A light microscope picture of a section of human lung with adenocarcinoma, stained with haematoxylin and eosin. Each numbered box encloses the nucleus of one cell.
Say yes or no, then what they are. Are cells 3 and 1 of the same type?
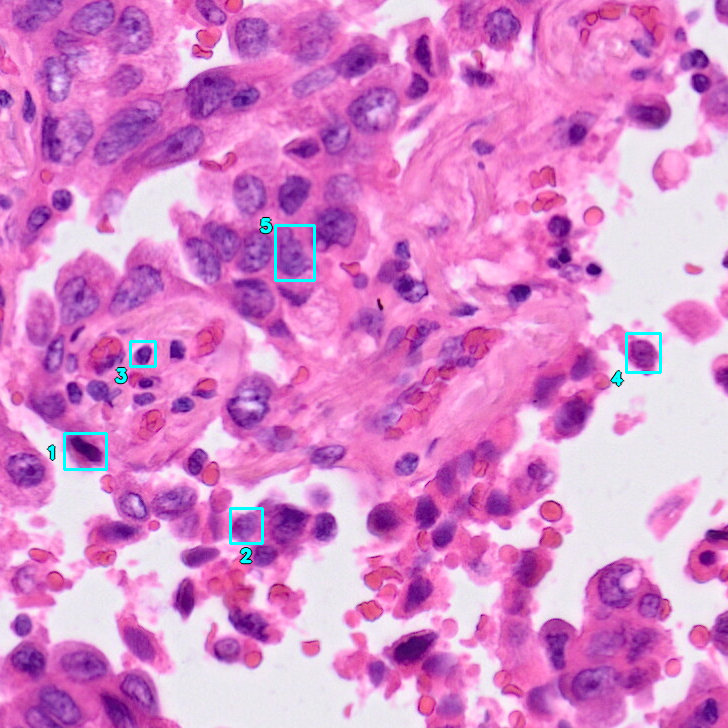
No, cell 3 is a lymphocyte, whereas a carcinoma cell is what cell 1 is.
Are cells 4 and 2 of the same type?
No, a macrophage or monocyte is what cell 4 is, and a carcinoma cell is what cell 2 is.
